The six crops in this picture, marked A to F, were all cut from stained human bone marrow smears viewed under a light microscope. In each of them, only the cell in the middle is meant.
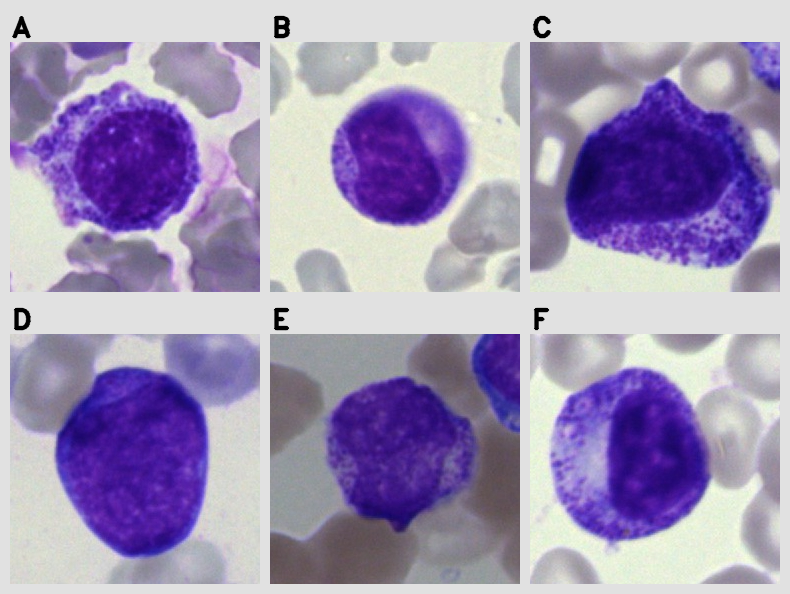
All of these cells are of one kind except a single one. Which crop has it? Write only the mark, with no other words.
D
